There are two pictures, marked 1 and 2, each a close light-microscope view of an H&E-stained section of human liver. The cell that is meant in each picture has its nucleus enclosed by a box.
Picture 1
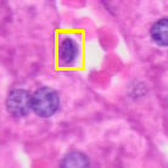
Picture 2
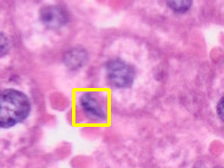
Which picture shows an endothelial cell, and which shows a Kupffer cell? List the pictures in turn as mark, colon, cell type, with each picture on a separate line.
1: Kupffer cell
2: endothelial cell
